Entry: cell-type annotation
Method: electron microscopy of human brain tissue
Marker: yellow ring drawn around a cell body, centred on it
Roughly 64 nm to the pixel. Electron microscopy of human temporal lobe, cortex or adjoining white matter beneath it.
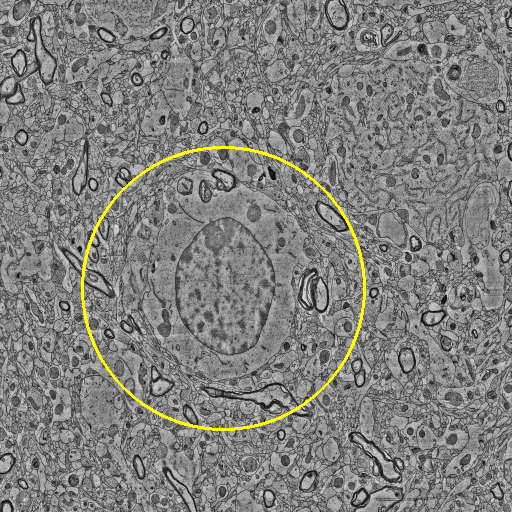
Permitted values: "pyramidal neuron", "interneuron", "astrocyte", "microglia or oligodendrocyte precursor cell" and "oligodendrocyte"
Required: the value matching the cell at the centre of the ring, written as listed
astrocyte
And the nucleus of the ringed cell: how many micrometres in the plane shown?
Approximately 9 x 6 micrometres in this plane.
